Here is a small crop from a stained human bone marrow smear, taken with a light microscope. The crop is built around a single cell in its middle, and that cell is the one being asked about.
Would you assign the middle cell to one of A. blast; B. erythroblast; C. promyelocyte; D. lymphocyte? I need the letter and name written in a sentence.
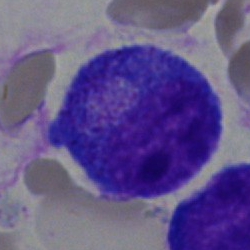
Option C is correct, naming the cell in the middle as a promyelocyte.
